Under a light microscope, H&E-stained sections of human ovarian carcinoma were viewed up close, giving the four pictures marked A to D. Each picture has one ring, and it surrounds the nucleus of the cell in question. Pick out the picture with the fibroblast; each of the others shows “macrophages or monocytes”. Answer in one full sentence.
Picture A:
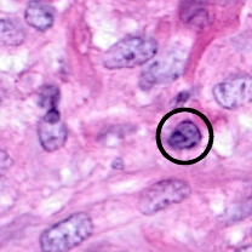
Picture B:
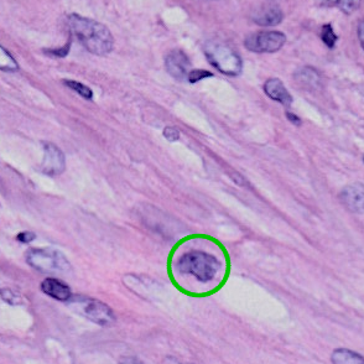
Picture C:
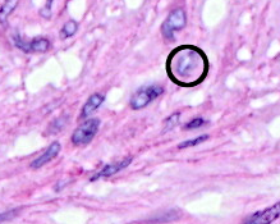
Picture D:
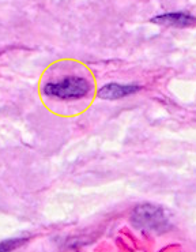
It is picture C that shows the fibroblast.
